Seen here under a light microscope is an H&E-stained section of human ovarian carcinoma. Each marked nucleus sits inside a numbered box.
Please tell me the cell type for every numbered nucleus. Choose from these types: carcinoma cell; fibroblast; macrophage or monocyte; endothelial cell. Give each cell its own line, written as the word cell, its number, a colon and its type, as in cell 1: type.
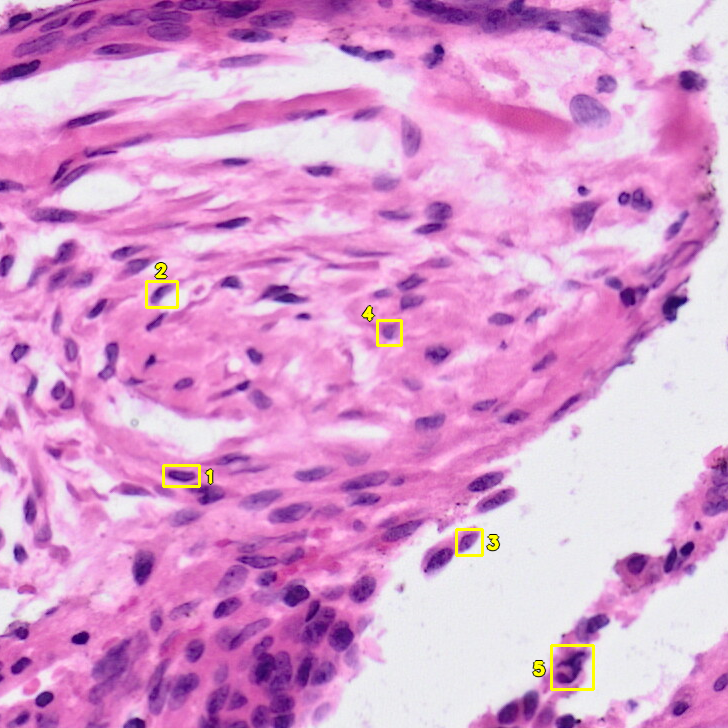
cell 1: fibroblast
cell 2: fibroblast
cell 3: carcinoma cell
cell 4: fibroblast
cell 5: macrophage or monocyte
